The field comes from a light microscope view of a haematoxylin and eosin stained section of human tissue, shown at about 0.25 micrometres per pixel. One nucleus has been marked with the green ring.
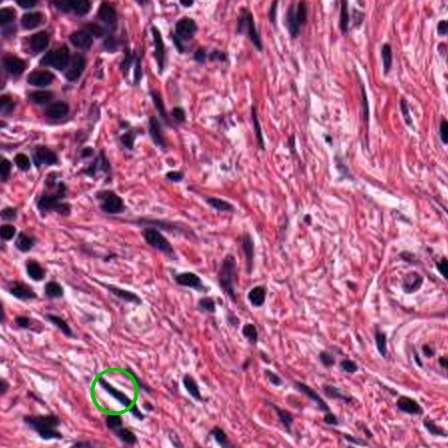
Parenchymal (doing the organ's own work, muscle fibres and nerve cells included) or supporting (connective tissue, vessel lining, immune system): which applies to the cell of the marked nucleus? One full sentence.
Within this section, the marked nucleus belongs to a supporting cell.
